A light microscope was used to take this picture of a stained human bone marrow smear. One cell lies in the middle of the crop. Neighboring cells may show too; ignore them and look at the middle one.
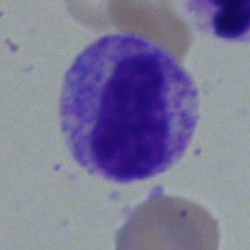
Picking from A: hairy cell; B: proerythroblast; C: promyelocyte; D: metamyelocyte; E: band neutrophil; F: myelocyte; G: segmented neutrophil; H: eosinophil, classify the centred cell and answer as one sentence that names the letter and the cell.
Located in the middle of the crop is a metamyelocyte, and option D is therefore correct.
